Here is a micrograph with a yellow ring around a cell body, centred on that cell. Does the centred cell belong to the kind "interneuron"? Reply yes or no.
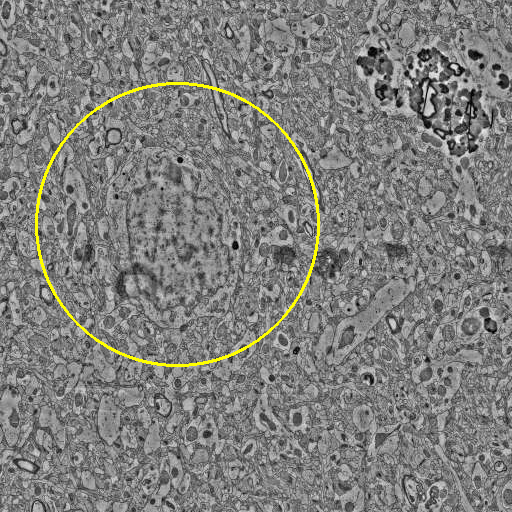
yes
